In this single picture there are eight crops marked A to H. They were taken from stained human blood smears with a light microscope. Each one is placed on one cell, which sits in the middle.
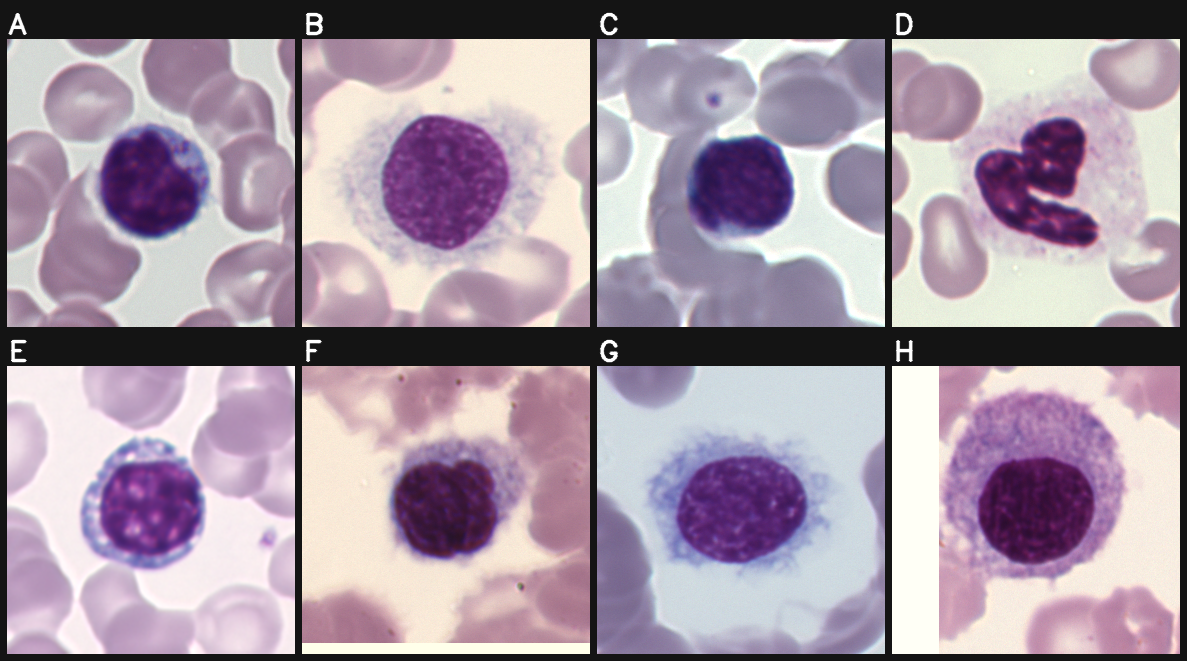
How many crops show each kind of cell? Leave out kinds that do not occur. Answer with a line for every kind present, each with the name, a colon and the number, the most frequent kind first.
hairy cell: 4
typical lymphocyte: 3
neutrophil: 1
